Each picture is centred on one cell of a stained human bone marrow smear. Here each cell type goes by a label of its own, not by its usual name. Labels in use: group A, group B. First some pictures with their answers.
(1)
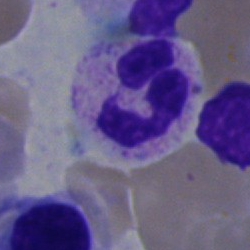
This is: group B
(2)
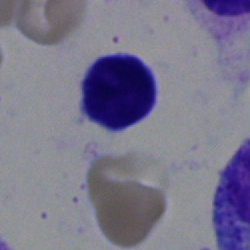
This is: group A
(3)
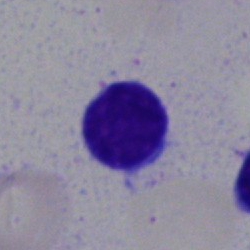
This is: group A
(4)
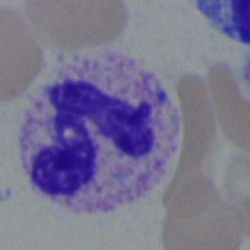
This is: group B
